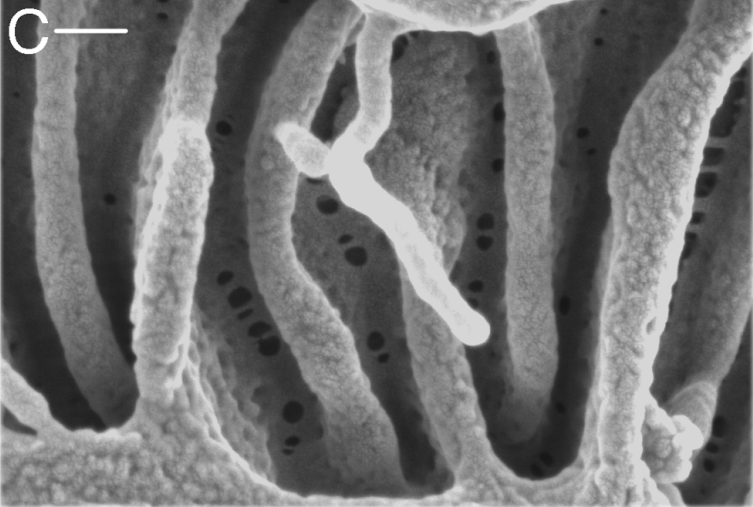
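Here glomerular podocyte processes are seen from above, with the slit diaphragms in the narrow gaps between them. Small dark pores are lined up in rows within the slits between neighbouring processes.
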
